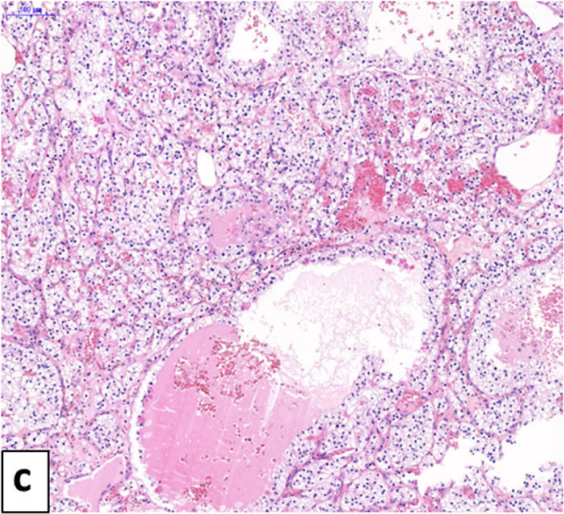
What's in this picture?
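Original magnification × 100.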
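Thin septa with small vessels divide the nests. A large cystic space at the bottom holds pink fluid with scattered red blood cells, and smaller spaces and haemorrhage lie among the nests.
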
